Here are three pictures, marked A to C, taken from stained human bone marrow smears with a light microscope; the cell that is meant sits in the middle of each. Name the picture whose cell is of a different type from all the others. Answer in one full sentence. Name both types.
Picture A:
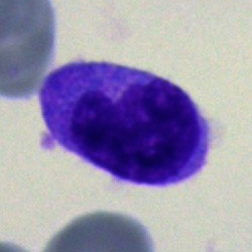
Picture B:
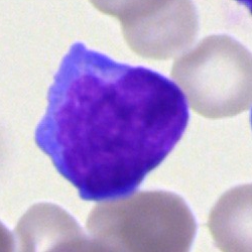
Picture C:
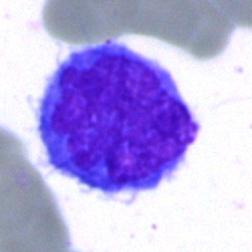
The different one is picture A; it shows a monocyte, whereas all the others show blasts.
